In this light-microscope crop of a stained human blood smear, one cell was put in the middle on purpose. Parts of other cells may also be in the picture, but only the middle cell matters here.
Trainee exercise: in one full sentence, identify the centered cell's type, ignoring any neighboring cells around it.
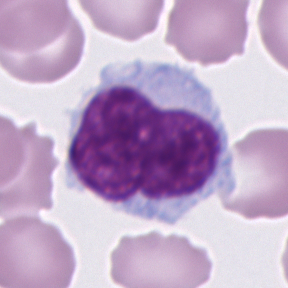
In the center of this field lies a hairy cell.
